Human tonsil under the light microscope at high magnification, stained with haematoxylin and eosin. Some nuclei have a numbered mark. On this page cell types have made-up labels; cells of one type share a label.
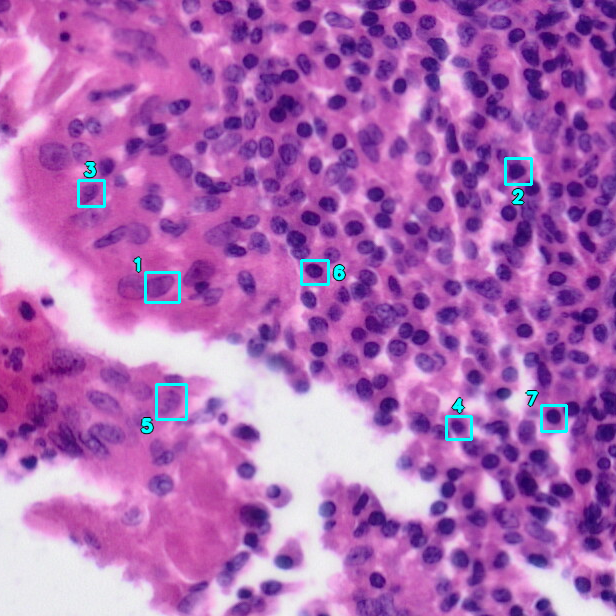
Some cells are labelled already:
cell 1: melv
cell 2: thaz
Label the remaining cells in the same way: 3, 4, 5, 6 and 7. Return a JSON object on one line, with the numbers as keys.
{"3": "melv", "4": "thaz", "5": "melv", "6": "thaz", "7": "thaz"}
